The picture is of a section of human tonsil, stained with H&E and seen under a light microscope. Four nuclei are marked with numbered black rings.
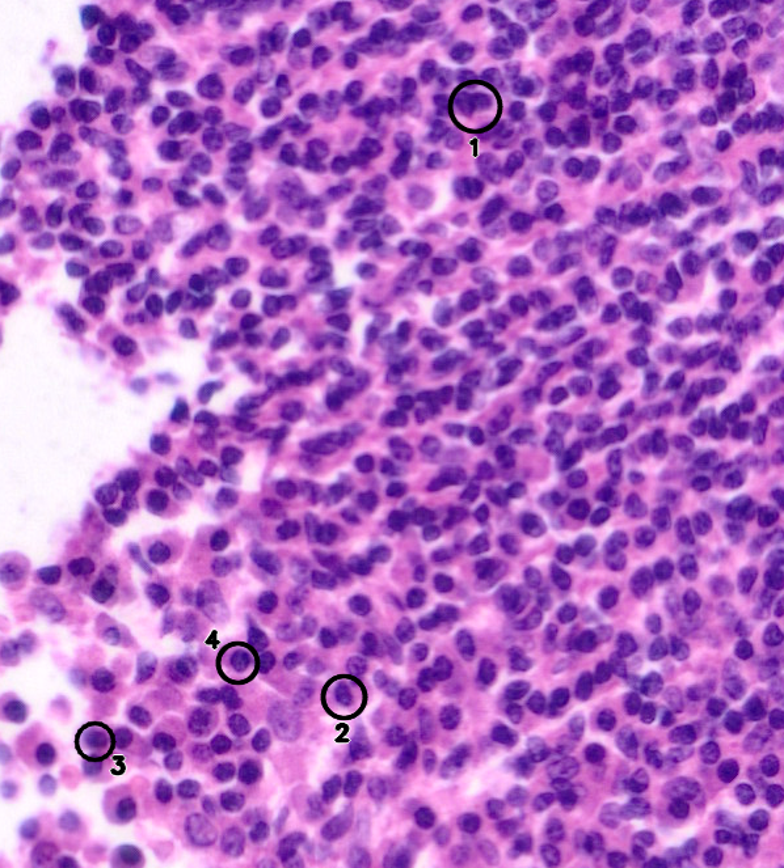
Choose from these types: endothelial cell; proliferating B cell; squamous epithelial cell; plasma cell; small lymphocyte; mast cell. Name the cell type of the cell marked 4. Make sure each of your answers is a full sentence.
In this section, the cell numbered 4 is a plasma cell.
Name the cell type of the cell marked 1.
The mark numbered 1 indicates the nucleus of a small lymphocyte.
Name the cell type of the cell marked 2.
In the tissue shown, cell 2 is a plasma cell.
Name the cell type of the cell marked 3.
Nucleus 3 in this section belongs to a plasma cell.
